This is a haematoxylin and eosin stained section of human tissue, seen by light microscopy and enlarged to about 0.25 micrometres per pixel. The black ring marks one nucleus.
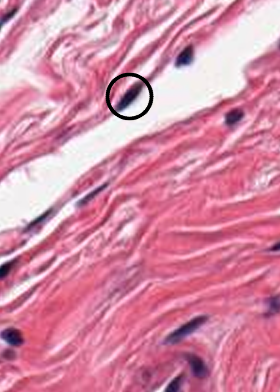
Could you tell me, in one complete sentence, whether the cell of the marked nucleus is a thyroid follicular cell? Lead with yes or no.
No, the marked nucleus lies within a supporting cell, not within a thyroid follicular cell.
